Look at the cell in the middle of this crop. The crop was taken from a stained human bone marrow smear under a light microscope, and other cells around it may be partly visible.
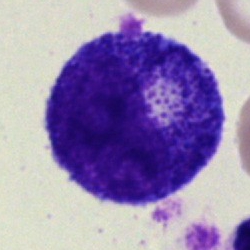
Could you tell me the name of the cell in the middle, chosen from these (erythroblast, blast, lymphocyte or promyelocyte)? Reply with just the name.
promyelocyte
